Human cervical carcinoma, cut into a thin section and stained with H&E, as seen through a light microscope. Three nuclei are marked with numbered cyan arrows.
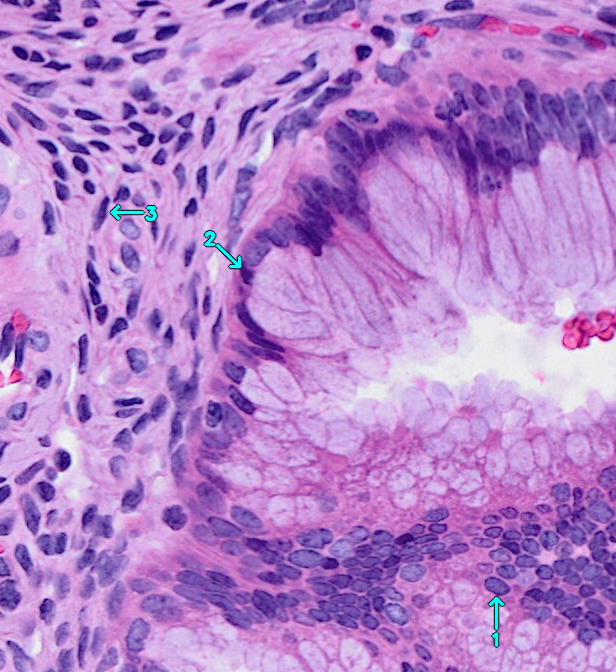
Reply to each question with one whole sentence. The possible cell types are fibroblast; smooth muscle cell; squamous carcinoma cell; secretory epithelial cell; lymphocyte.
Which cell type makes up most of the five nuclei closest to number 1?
The majority of the five nuclei closest to number 1 belong to secretory epithelial cells.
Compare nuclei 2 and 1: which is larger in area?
Of the two, number 1 is bigger and takes up about 2 times the area of number 2.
